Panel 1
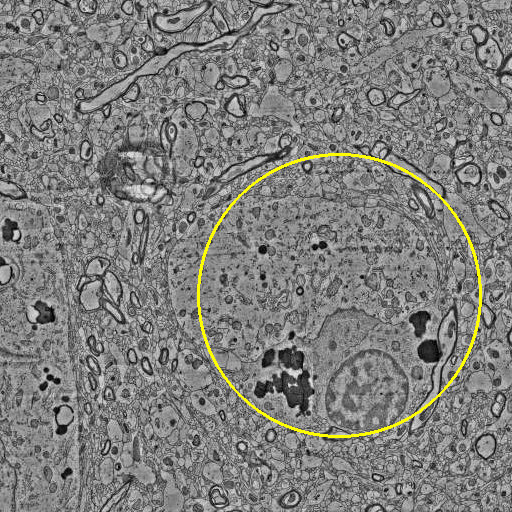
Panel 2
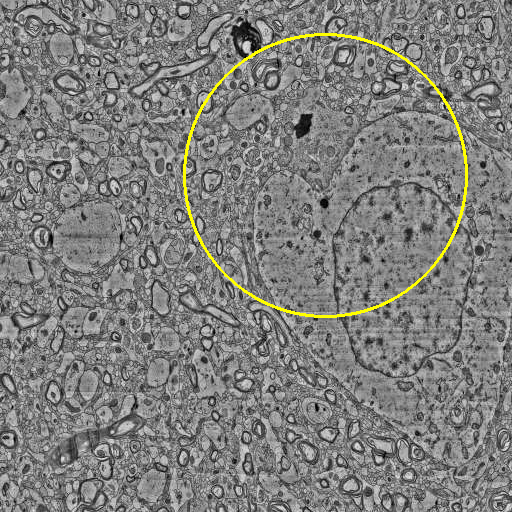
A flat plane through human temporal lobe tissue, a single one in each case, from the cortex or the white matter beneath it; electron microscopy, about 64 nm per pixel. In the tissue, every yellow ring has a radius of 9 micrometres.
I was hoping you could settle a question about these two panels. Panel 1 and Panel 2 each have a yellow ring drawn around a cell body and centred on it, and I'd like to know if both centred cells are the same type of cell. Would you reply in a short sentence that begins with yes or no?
Yes, both are the same type of cell.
